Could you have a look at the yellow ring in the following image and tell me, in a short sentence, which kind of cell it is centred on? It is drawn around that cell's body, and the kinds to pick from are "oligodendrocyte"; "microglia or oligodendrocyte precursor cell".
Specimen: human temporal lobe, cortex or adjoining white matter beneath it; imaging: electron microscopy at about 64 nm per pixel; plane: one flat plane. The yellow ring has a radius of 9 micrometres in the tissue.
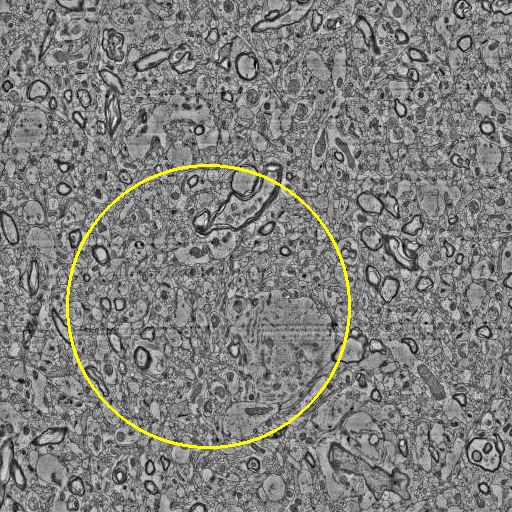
The ring is centred on the body of a microglial cell or oligodendrocyte precursor cell.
